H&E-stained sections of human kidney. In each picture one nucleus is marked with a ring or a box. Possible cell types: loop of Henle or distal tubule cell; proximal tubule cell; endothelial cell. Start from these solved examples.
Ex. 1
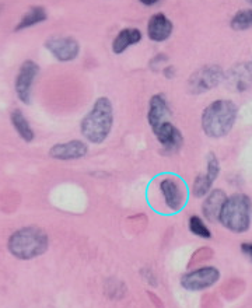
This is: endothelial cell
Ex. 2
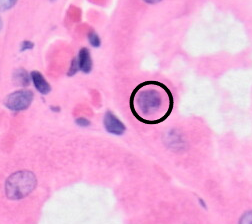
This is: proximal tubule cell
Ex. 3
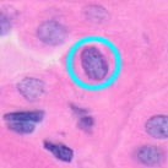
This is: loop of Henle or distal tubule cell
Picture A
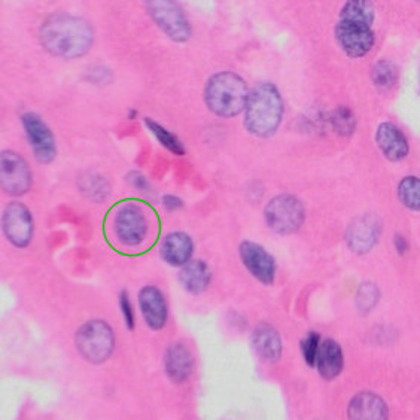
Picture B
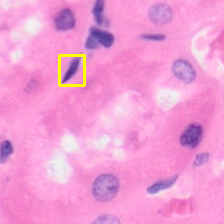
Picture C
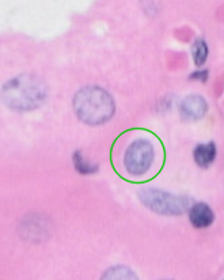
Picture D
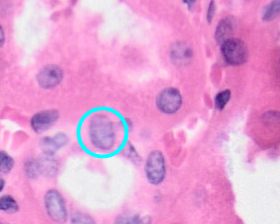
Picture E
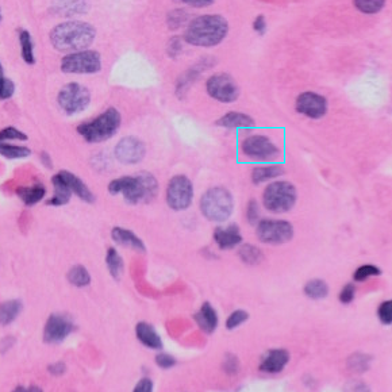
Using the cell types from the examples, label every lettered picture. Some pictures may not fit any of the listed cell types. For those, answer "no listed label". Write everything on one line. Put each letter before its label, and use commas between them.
A loop of Henle or distal tubule cell, B endothelial cell, C no listed label, D no listed label, E no listed label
